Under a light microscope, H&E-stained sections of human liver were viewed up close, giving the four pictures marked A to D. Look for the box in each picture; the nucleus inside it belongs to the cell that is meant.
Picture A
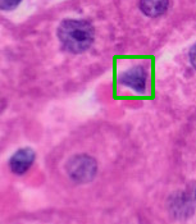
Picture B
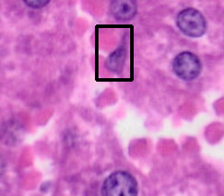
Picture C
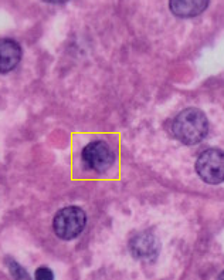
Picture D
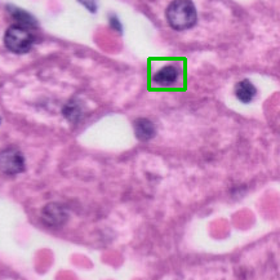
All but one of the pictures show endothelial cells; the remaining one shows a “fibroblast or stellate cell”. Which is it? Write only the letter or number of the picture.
D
